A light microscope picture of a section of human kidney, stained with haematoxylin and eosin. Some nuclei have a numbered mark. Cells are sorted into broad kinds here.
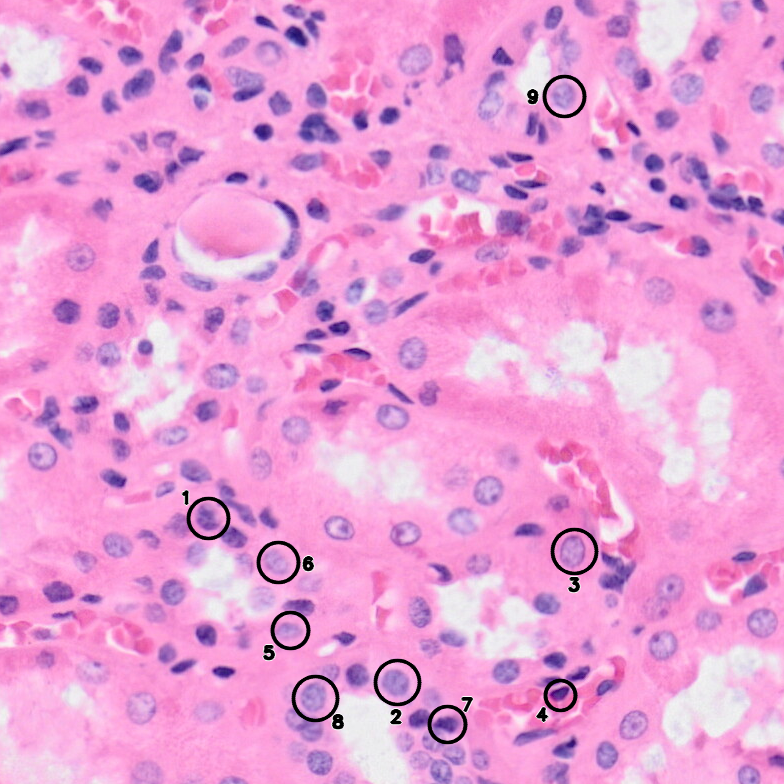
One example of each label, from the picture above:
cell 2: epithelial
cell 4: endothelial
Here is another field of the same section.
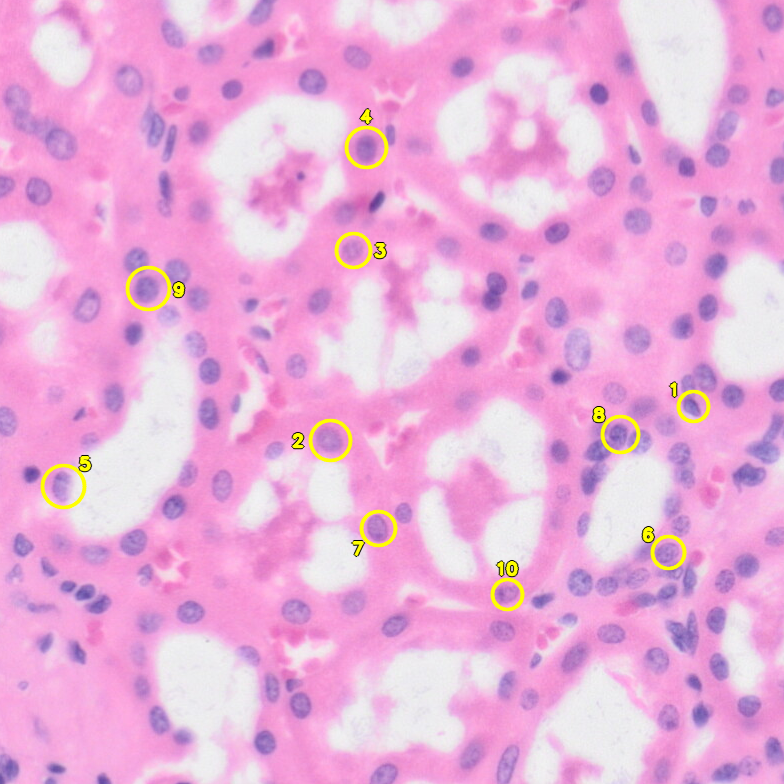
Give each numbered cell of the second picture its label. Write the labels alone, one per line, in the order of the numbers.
endothelial
epithelial
epithelial
epithelial
epithelial
epithelial
epithelial
epithelial
epithelial
epithelial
